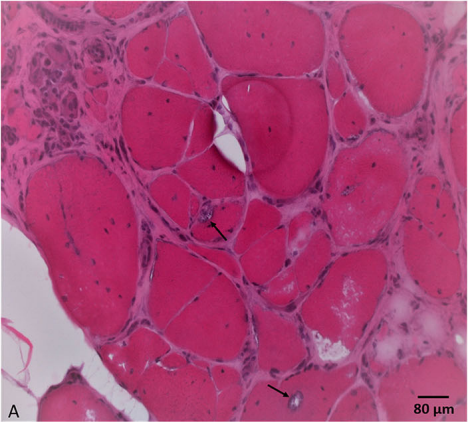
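Cross-section of skeletal muscle in which pink fibers vary widely in size, from very large rounded fibers to small ones, separated by widened pale connective tissue with many nuclei. Many fibers contain dark nuclei inside them rather than at their edge, and some fibers hold small clear spaces edged with bluish granular material.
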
